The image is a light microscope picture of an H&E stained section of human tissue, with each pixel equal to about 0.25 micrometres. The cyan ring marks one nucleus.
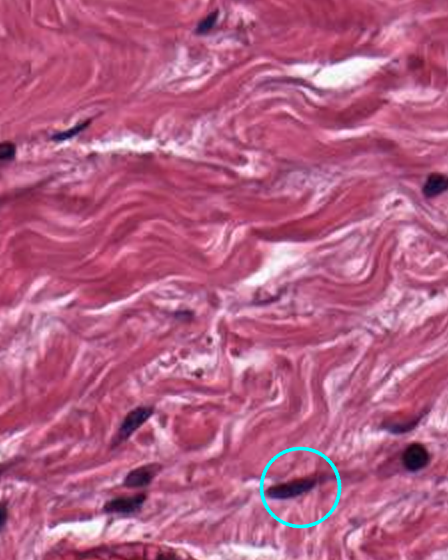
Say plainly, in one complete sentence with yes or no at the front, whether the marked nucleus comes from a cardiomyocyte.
No, the marked nucleus forms part of a supporting cell instead of a cardiomyocyte.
